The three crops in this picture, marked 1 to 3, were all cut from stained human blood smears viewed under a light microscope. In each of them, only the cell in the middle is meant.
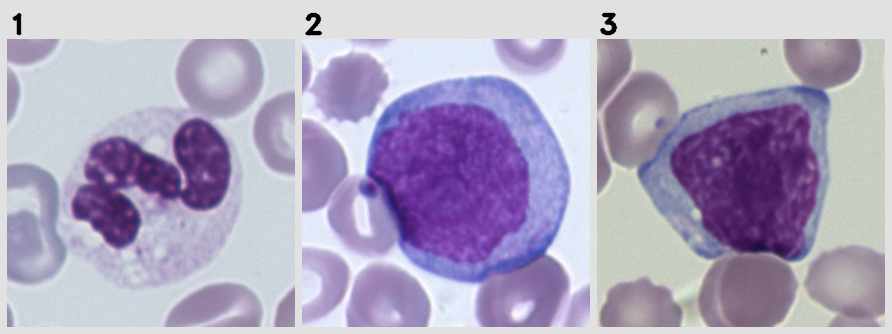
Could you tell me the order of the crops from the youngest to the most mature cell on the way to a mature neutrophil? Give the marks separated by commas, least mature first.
3, 2, 1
